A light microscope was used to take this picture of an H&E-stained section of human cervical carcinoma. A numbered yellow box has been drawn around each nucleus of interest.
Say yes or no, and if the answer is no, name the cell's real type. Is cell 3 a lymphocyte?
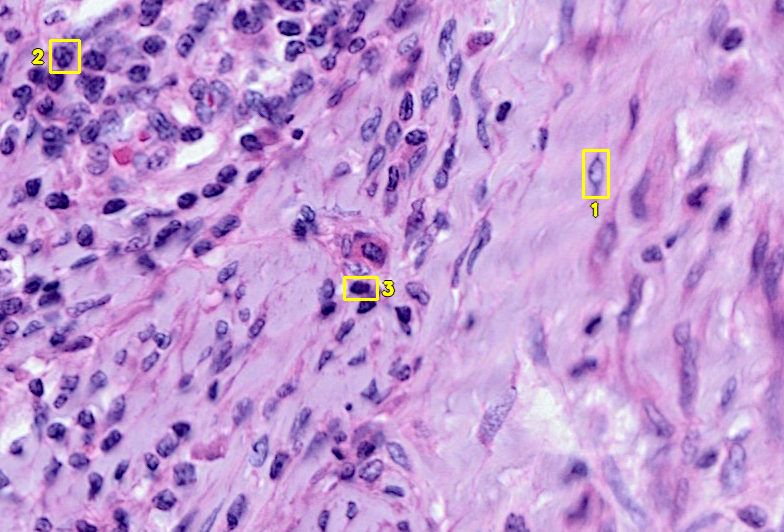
Yes.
